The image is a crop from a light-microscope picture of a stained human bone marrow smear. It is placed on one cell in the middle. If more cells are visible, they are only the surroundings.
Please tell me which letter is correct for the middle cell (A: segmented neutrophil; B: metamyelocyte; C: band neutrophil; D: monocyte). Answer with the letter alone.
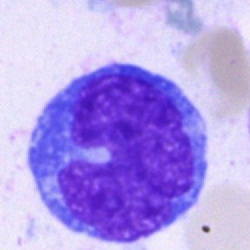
D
